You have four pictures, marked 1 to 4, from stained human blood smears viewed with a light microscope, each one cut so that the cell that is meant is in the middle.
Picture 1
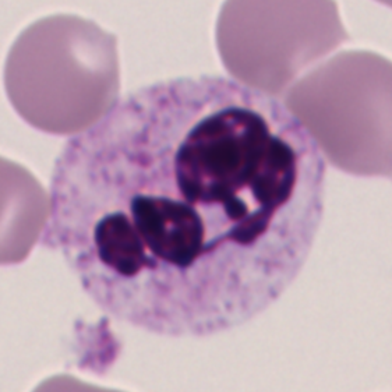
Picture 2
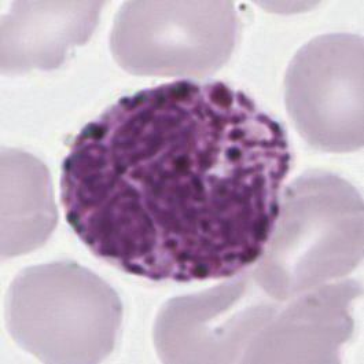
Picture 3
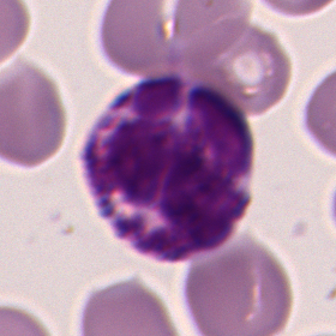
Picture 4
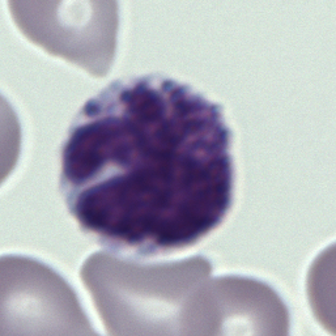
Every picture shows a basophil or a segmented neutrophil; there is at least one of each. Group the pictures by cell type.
1: segmented neutrophil
2: basophil
3: basophil
4: basophil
